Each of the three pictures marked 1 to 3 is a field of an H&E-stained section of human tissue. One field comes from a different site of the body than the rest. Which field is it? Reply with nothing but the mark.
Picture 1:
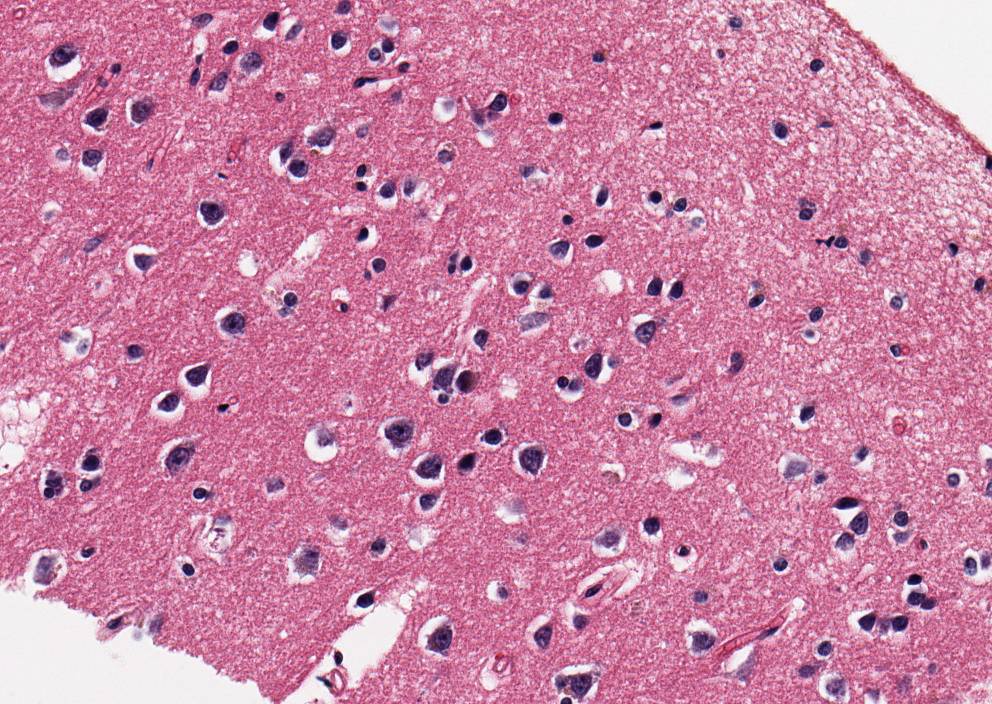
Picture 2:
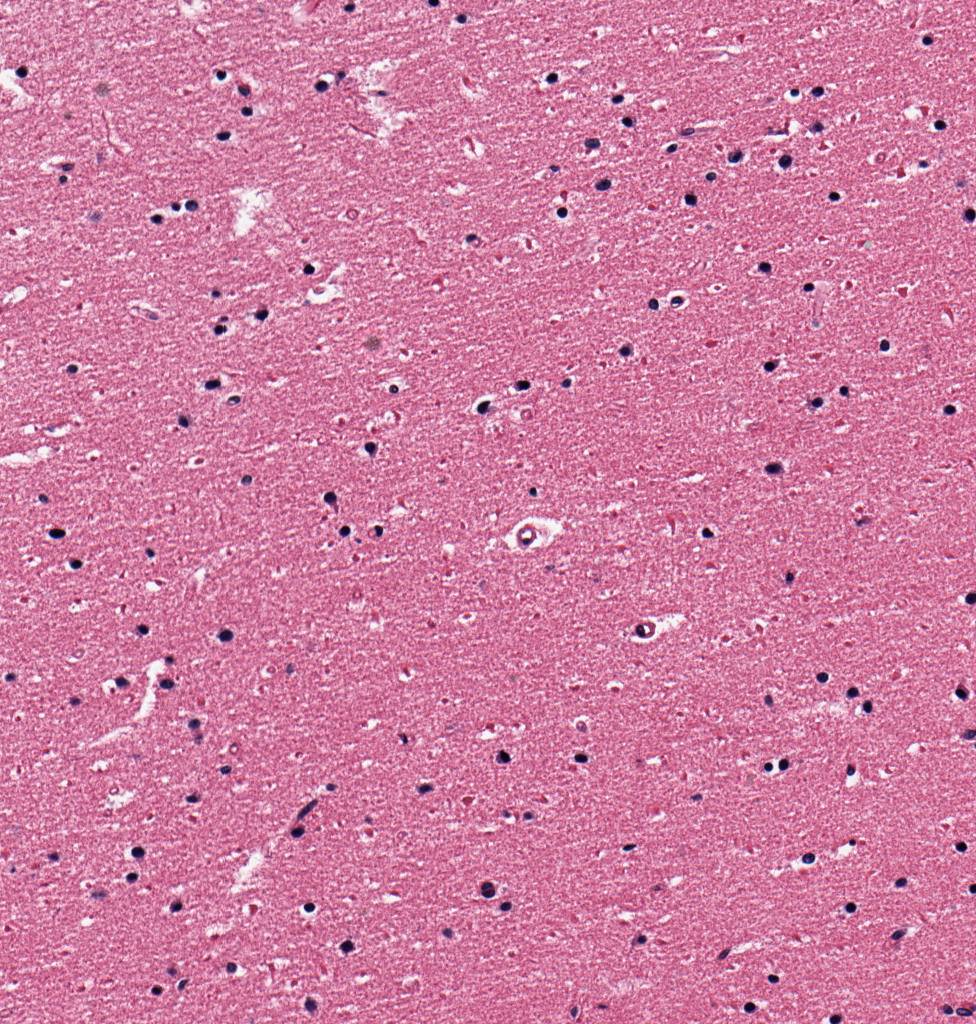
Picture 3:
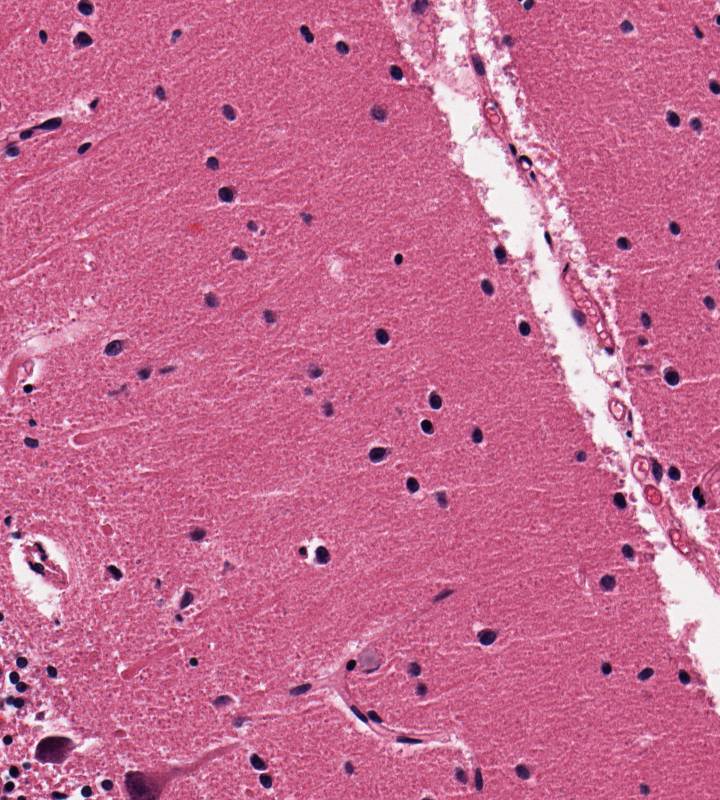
1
